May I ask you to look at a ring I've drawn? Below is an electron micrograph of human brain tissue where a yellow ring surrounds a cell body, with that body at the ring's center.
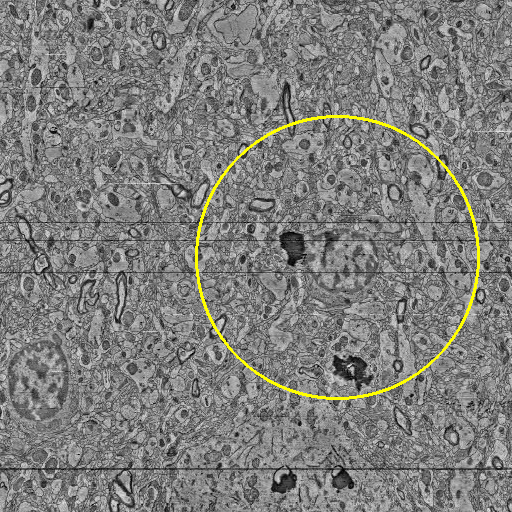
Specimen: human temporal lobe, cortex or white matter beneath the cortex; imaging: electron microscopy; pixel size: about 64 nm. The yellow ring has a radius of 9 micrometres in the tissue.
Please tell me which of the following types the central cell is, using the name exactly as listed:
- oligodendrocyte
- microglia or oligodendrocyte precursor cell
oligodendrocyte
